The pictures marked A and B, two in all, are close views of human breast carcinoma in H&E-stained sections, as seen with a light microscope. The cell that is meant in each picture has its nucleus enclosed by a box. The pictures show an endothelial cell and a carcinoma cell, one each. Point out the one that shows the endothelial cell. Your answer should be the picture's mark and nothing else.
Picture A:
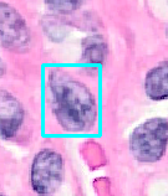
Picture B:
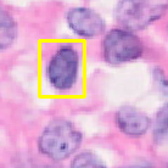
A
